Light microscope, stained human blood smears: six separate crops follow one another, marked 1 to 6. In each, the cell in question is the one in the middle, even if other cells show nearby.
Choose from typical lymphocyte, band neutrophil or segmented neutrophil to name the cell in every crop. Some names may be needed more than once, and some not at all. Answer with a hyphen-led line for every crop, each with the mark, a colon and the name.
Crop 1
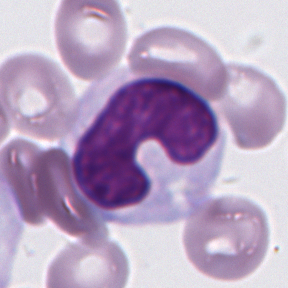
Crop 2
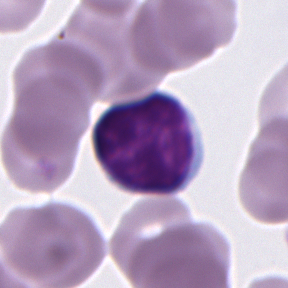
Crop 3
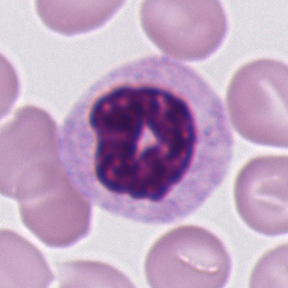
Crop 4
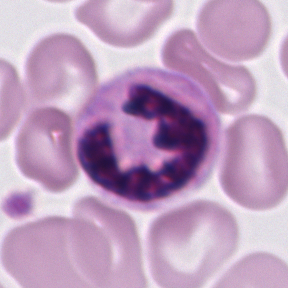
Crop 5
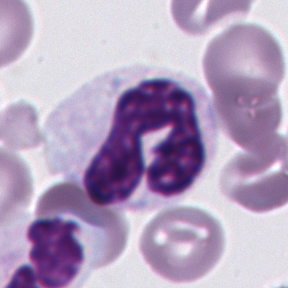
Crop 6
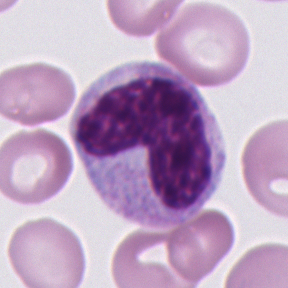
- 1: band neutrophil
- 2: typical lymphocyte
- 3: segmented neutrophil
- 4: segmented neutrophil
- 5: band neutrophil
- 6: band neutrophil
